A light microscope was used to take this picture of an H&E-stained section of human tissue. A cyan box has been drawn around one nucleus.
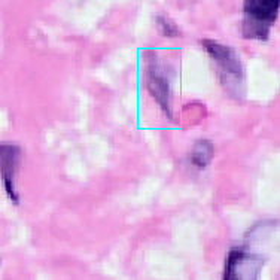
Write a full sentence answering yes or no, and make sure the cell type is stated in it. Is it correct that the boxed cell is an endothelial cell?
Yes, it is the case that the boxed cell is an endothelial cell.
